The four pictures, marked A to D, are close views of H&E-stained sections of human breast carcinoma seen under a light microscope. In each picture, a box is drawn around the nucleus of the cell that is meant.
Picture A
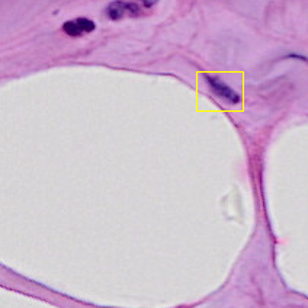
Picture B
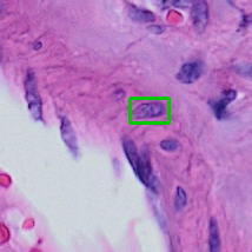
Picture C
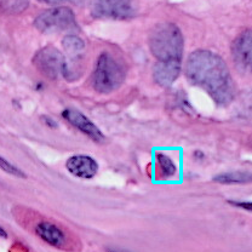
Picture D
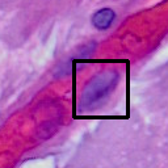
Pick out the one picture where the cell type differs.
A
